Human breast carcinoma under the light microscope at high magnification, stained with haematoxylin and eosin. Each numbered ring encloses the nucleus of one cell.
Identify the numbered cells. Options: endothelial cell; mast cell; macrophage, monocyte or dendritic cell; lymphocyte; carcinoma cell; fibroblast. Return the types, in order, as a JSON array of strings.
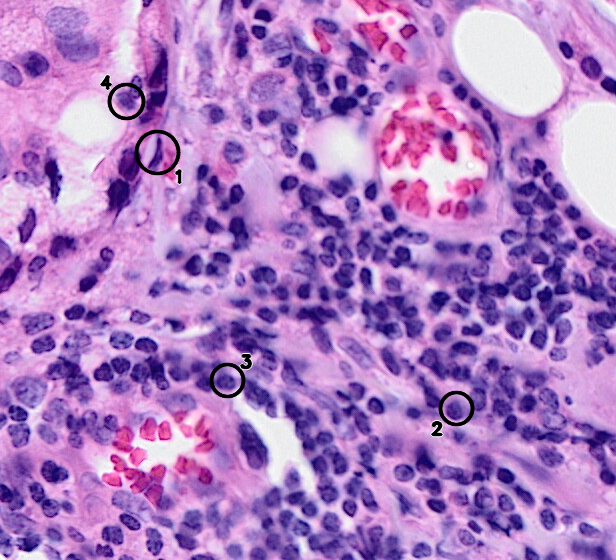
["endothelial cell", "lymphocyte", "lymphocyte", "lymphocyte"]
